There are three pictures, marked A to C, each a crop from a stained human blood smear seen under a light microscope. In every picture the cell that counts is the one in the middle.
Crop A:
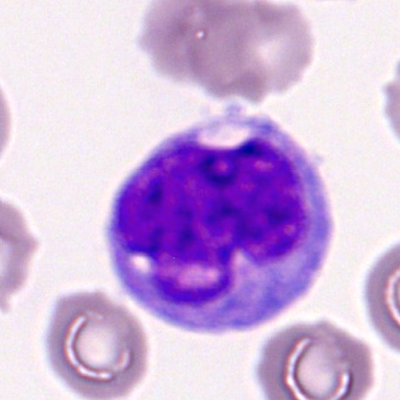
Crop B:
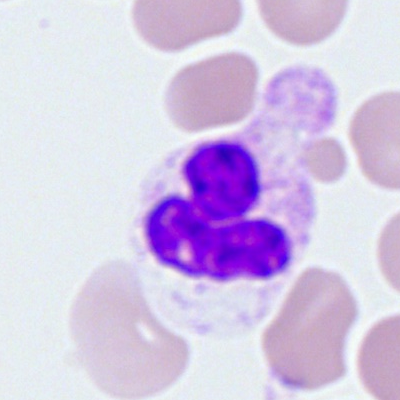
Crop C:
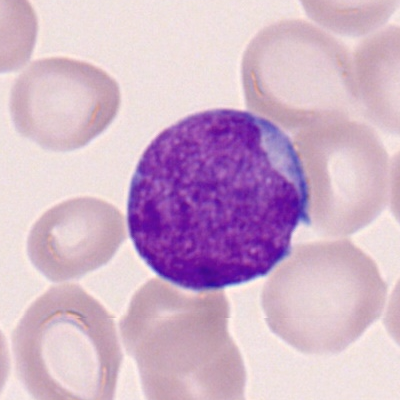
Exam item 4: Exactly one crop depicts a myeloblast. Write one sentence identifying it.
It is in crop C that a myeloblast is shown.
